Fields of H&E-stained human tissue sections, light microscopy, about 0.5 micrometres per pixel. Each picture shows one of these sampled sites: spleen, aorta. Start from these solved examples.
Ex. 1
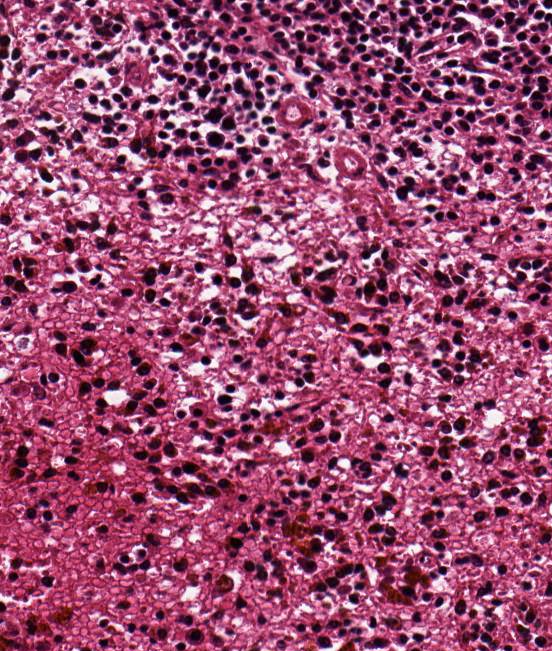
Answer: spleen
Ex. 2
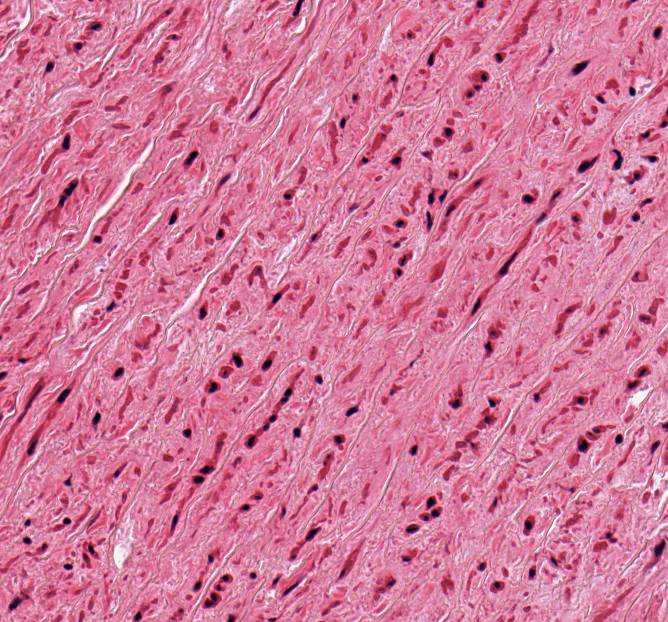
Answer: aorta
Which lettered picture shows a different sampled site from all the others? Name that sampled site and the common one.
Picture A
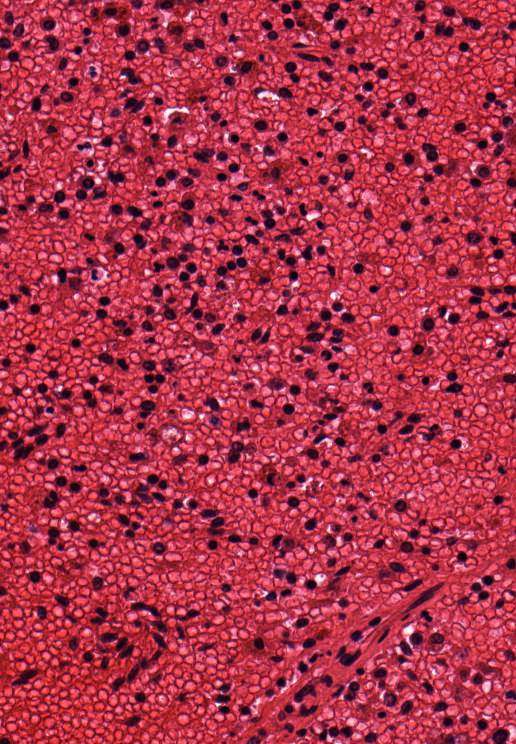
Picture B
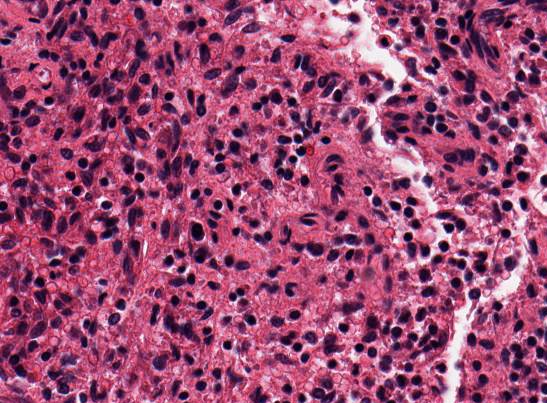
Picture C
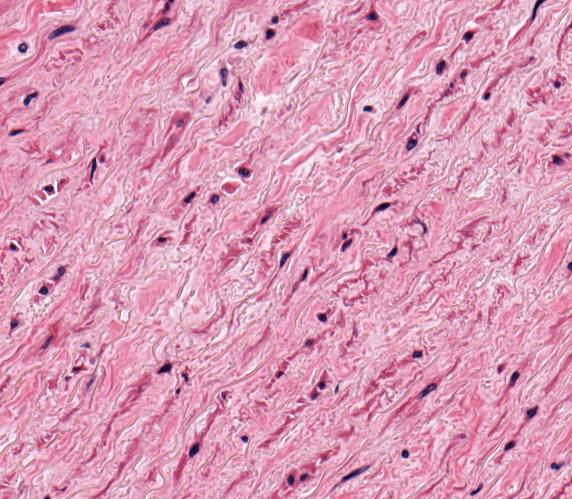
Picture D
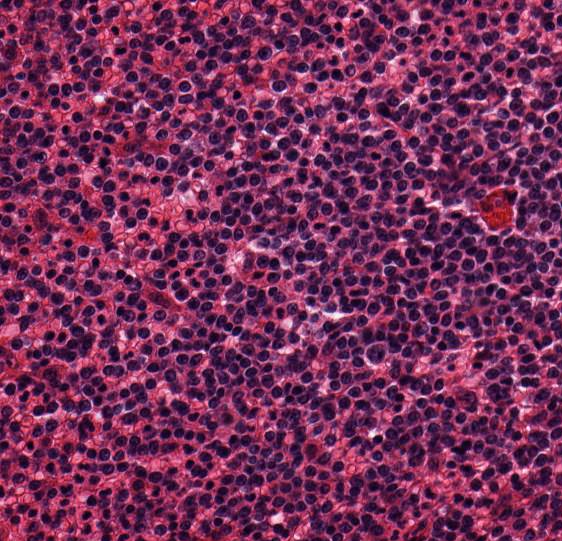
C: aorta; all the others: spleen.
